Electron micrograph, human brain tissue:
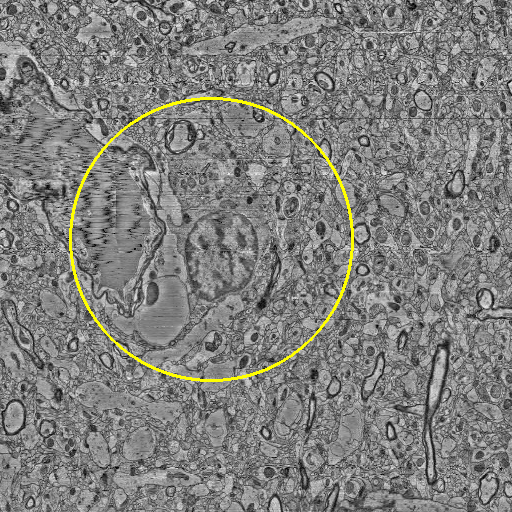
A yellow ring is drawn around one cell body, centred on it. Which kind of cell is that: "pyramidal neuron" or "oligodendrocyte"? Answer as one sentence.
It is an oligodendrocyte at the centre of the ring.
